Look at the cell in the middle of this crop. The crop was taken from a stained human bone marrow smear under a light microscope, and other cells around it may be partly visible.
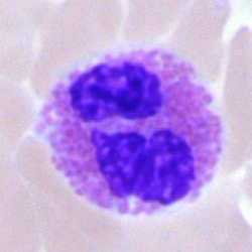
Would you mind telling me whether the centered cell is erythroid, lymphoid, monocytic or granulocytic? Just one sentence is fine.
The cell at the center belongs, by lineage, to the granulocytic line.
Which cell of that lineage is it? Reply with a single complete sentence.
On this slide crop, the central cell is an eosinophil.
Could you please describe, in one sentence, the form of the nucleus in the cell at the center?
What stands out is the nucleus, split into two or more lobes.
